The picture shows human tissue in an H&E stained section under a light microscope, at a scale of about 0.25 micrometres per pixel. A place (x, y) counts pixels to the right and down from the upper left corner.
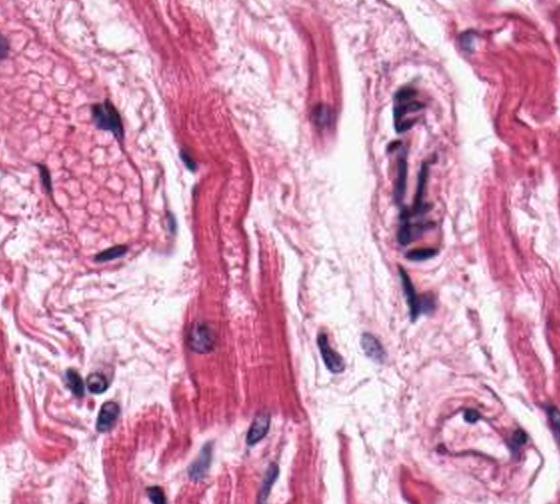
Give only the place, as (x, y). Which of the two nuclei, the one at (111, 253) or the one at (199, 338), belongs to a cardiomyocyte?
(199, 338)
